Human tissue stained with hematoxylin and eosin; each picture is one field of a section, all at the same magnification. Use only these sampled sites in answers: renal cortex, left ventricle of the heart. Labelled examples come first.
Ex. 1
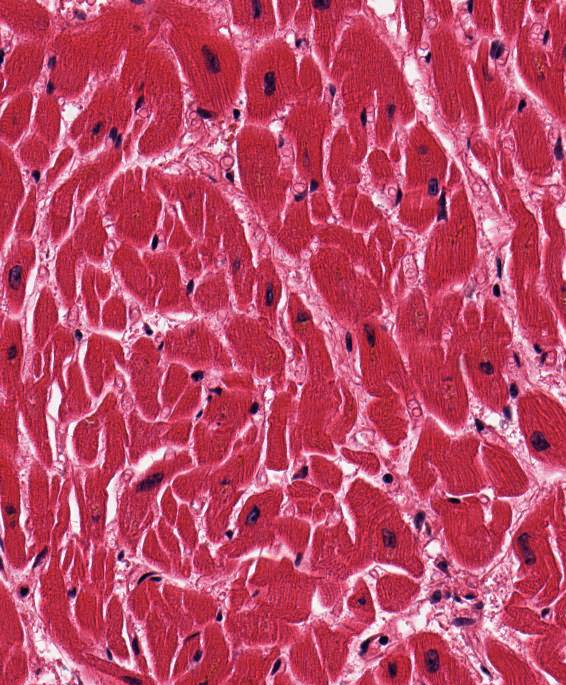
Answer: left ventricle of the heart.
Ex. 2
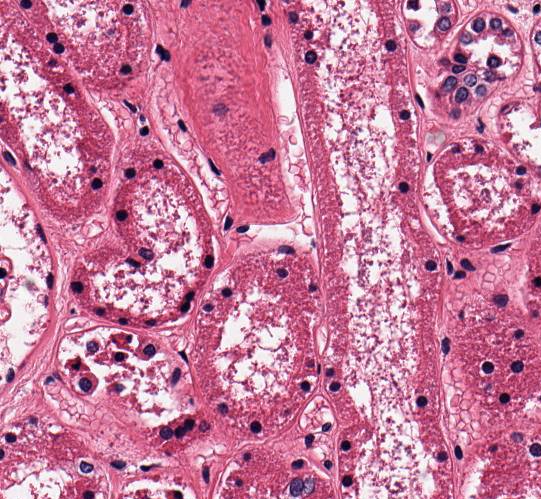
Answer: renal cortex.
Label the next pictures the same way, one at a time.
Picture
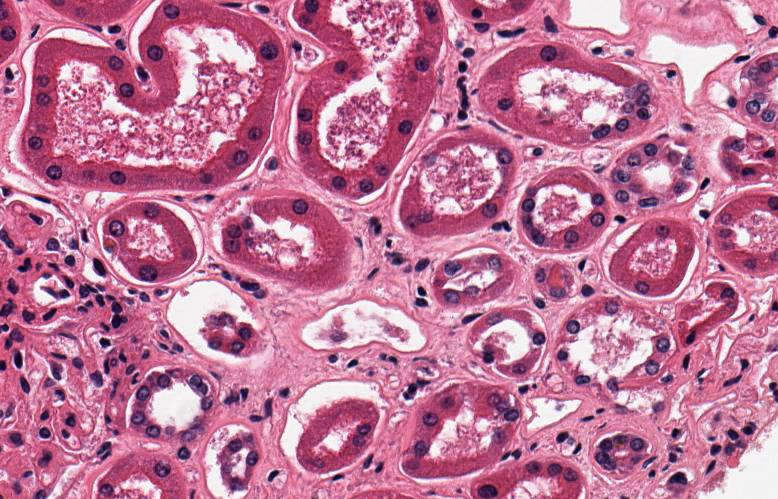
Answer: renal cortex.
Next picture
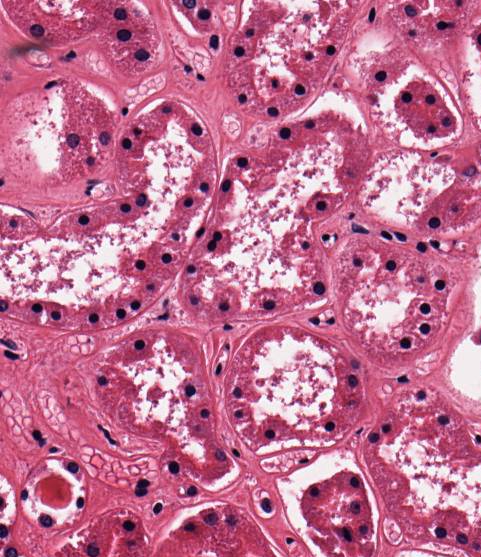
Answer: renal cortex.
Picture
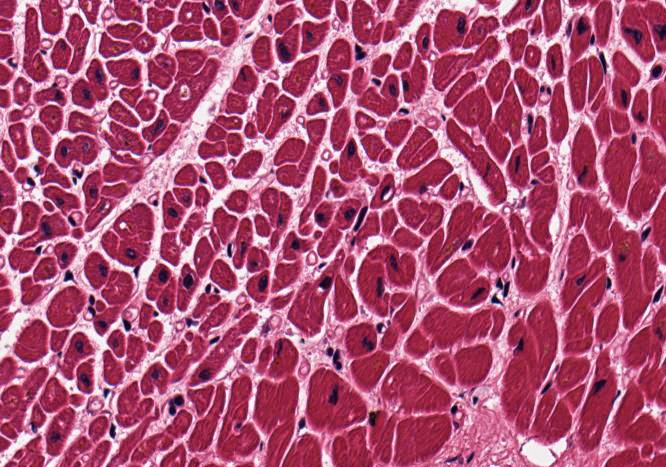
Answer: left ventricle of the heart.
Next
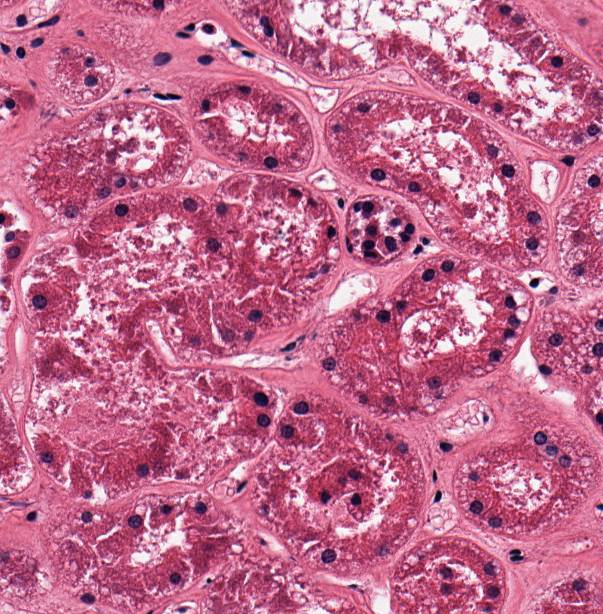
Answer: renal cortex.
